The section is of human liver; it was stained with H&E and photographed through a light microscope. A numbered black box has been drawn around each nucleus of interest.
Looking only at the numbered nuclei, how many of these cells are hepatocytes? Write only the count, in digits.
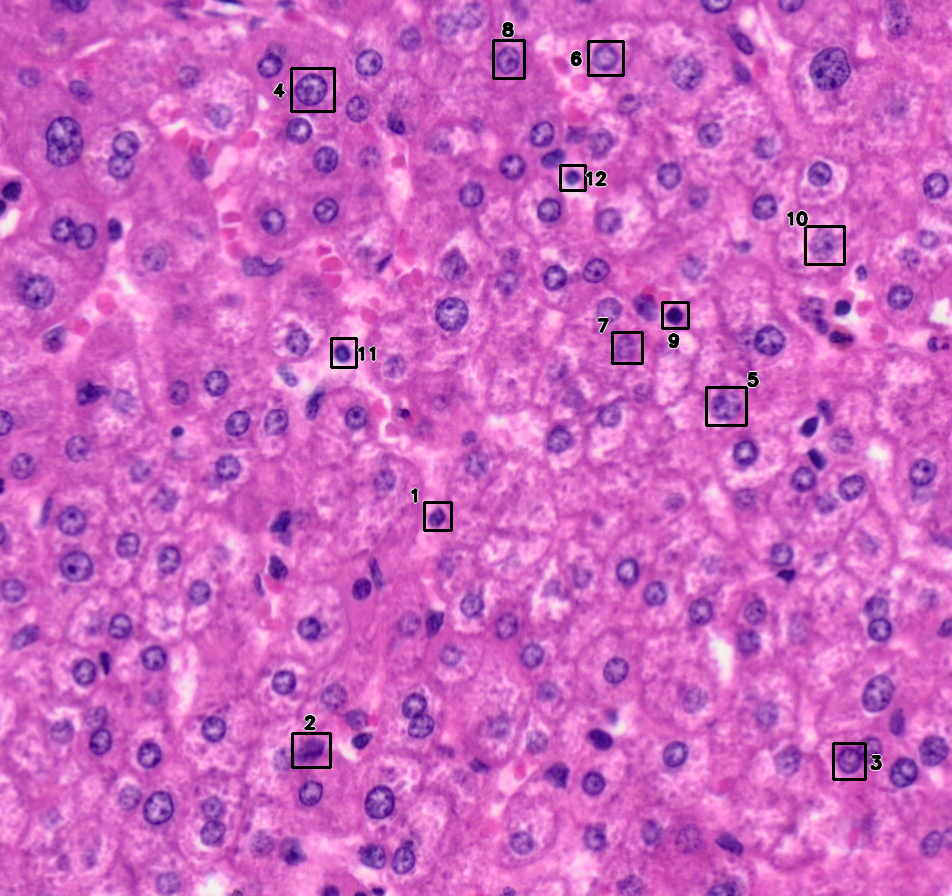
7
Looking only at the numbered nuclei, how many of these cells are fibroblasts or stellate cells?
1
